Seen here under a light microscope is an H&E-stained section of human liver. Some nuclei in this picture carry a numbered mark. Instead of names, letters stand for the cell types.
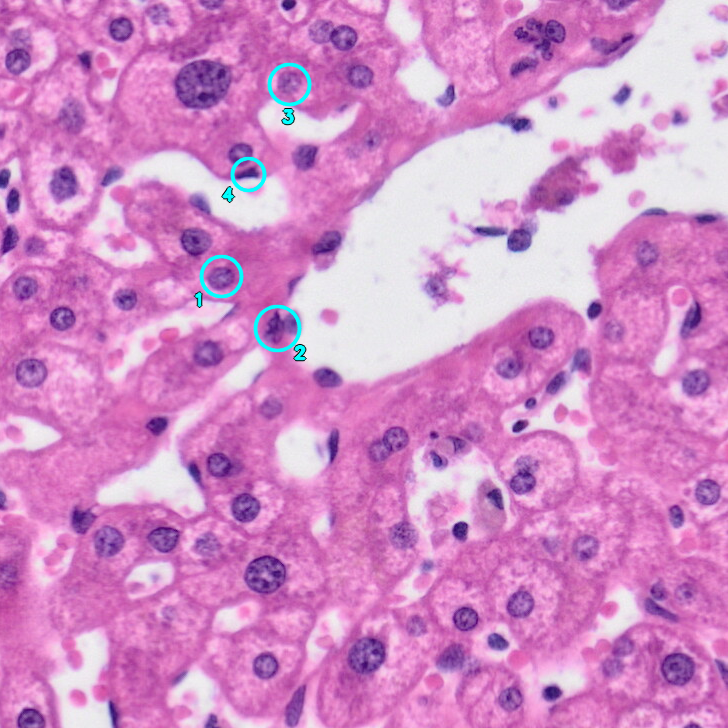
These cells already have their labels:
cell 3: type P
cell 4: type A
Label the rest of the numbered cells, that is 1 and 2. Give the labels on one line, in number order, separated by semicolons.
type P; type A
